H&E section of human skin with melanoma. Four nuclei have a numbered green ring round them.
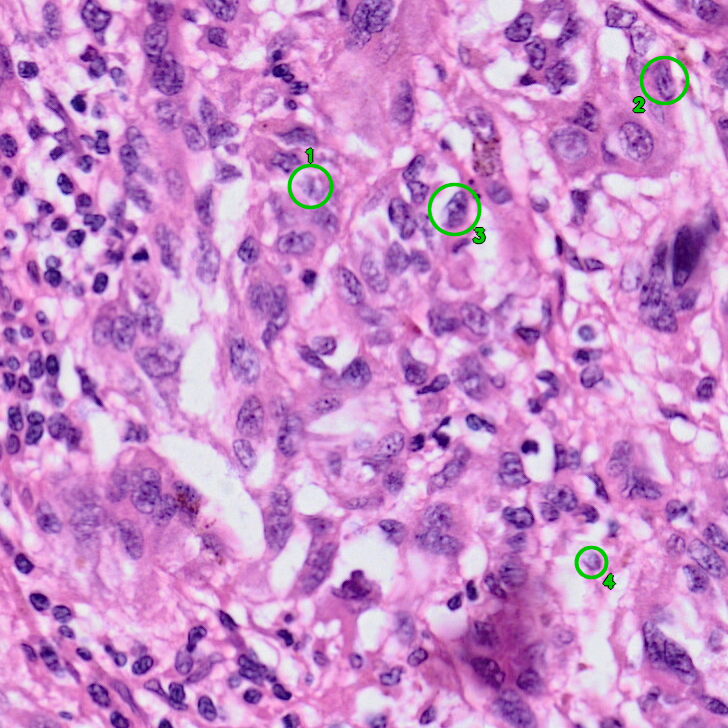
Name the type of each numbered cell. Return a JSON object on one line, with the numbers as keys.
{"1": "melanoma cell", "2": "melanoma cell", "3": "melanoma cell", "4": "macrophage or monocyte"}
